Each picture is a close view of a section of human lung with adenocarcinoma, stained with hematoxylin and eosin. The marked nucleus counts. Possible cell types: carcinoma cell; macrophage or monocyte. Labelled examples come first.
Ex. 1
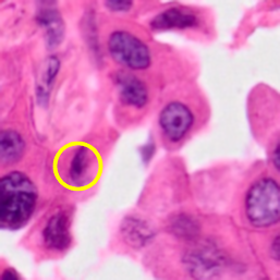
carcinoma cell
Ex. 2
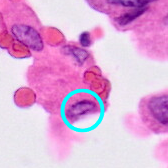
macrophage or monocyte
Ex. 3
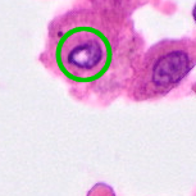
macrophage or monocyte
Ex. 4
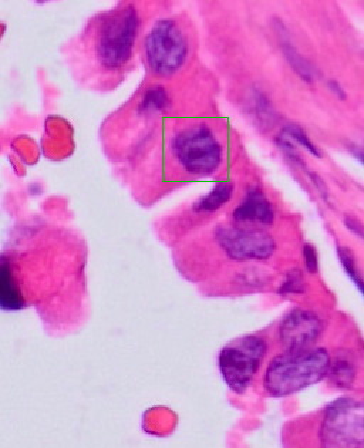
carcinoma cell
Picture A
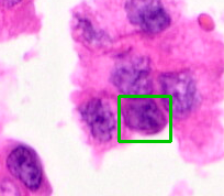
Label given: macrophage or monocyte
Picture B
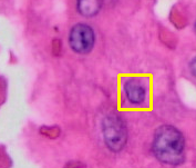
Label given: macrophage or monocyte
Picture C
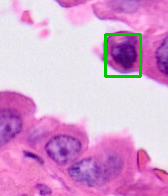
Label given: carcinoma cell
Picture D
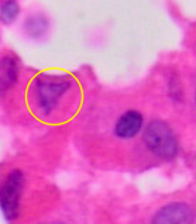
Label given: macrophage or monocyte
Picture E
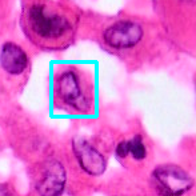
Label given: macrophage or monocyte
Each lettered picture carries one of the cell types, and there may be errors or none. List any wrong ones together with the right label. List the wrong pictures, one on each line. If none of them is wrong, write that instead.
A should be carcinoma cell, not macrophage or monocyte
